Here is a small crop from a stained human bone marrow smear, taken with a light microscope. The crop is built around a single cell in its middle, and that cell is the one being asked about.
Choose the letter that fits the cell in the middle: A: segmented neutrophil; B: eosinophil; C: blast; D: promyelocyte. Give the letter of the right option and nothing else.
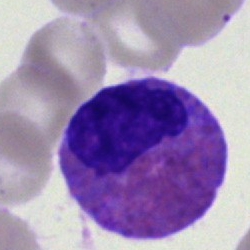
B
